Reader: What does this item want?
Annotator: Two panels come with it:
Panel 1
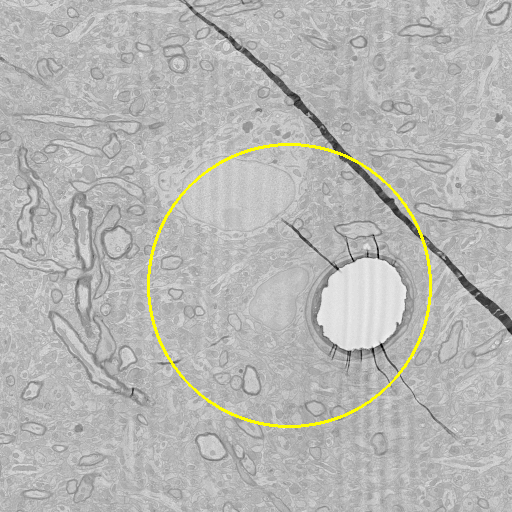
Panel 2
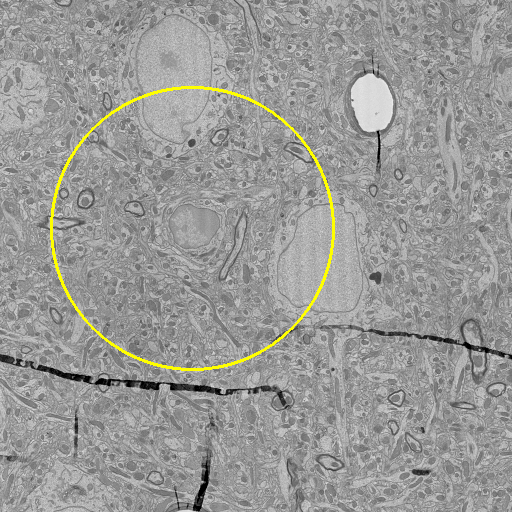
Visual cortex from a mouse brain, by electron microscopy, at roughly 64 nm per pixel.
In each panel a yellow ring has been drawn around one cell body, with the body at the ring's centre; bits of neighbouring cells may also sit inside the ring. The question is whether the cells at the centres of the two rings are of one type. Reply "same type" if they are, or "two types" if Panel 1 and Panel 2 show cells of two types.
same type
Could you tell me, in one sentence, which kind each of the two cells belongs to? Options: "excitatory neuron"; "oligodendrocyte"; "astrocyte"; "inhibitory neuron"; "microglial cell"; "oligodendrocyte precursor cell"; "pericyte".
Both the first and the second picture show a microglial cell in the ring.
